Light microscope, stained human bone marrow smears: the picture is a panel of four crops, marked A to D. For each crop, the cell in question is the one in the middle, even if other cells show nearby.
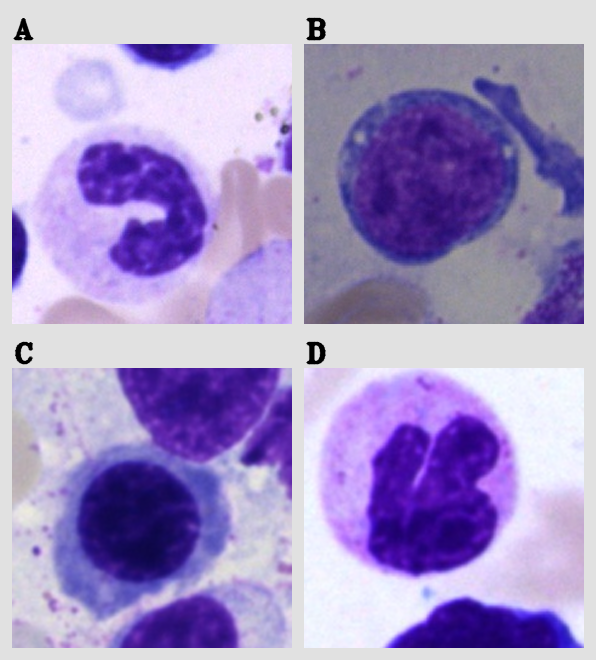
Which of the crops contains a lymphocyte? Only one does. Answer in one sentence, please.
The correct choice is crop B, the one showing a lymphocyte.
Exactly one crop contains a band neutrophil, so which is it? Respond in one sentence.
Identified crop: A, the one that shows a band neutrophil.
